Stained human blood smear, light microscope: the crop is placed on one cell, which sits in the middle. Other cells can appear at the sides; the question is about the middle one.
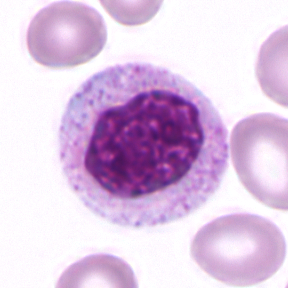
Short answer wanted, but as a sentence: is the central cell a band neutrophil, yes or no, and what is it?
No, the cell sitting in the centre of the crop is a metamyelocyte, not a band neutrophil.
